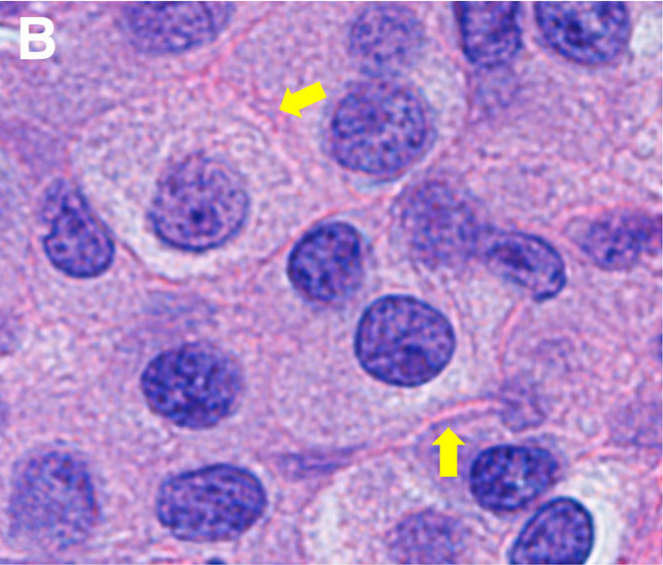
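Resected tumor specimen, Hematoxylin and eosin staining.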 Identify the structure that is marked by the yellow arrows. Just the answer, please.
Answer: Intercellular bridges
